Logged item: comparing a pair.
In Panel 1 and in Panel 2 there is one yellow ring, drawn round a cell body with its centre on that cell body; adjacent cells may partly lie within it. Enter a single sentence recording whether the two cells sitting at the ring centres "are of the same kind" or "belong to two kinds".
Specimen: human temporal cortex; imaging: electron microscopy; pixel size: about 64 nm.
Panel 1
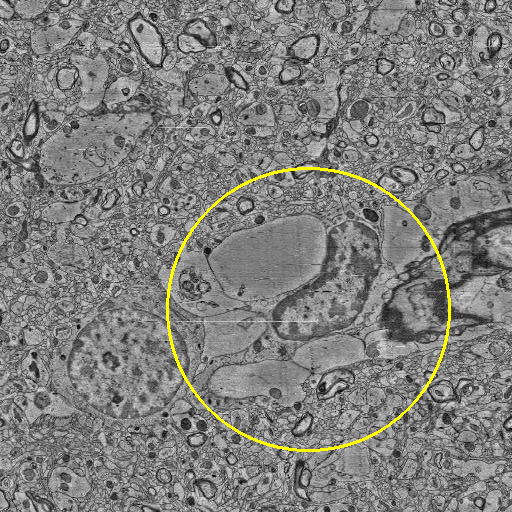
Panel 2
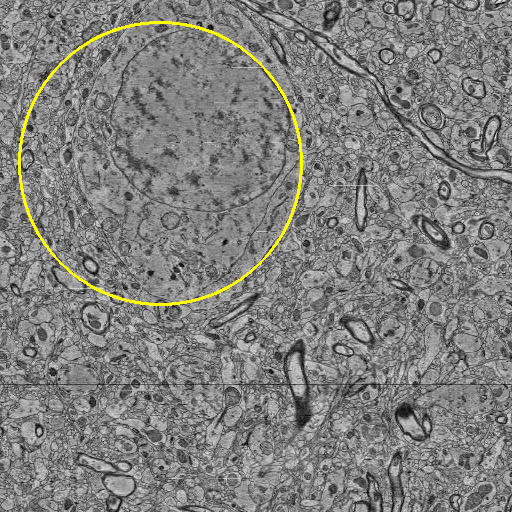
Logged: the cells centred in the rings of Panel 1 and Panel 2 belong to two kinds.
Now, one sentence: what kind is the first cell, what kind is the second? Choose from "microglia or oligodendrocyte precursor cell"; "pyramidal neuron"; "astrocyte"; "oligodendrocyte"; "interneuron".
The first picture has a microglial cell or oligodendrocyte precursor cell at its ring centre, and the second has a pyramidal neuron.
